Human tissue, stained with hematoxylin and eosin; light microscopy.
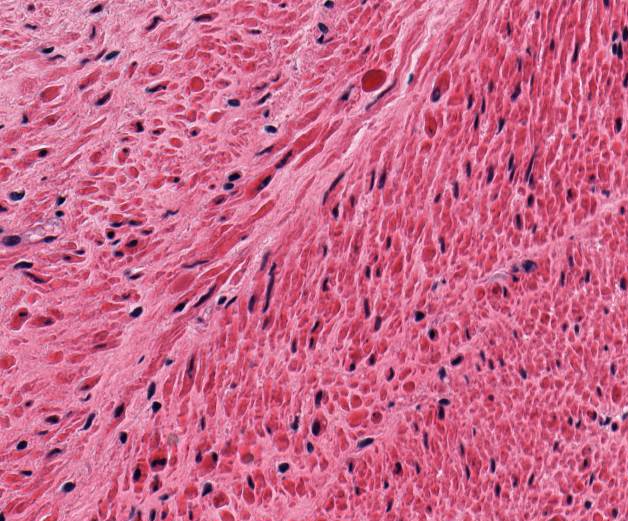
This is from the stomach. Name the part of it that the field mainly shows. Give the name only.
smooth muscle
